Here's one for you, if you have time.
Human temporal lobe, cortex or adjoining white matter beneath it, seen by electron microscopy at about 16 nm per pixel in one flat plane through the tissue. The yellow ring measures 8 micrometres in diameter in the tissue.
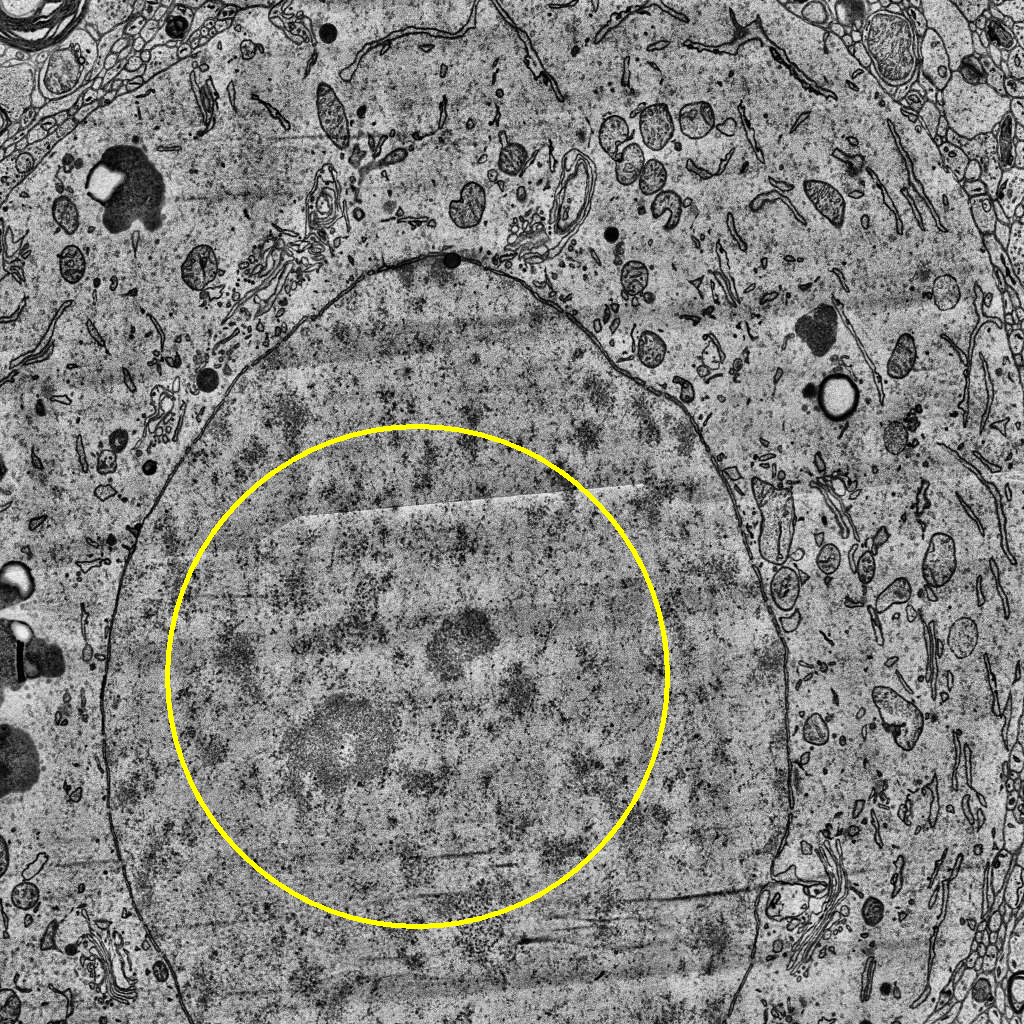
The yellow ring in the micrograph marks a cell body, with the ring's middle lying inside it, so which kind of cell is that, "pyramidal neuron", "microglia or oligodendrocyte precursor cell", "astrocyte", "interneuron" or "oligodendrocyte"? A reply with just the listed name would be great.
pyramidal neuron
